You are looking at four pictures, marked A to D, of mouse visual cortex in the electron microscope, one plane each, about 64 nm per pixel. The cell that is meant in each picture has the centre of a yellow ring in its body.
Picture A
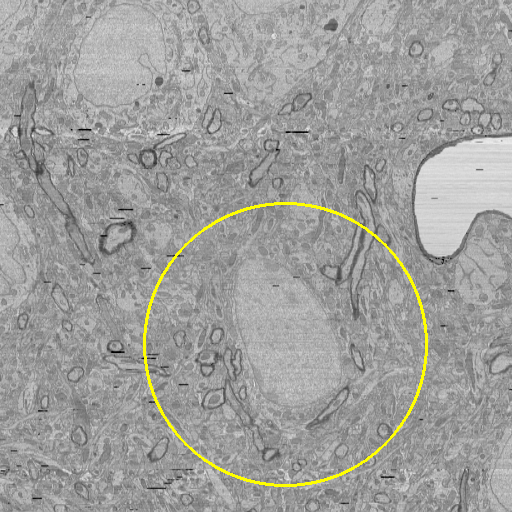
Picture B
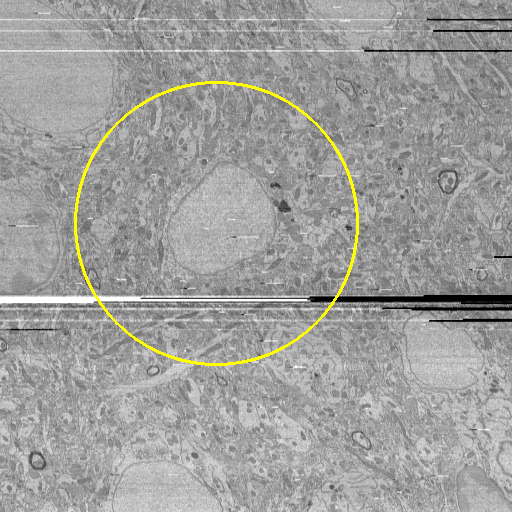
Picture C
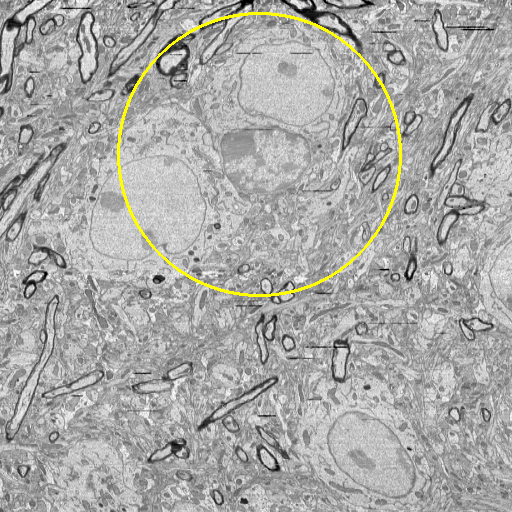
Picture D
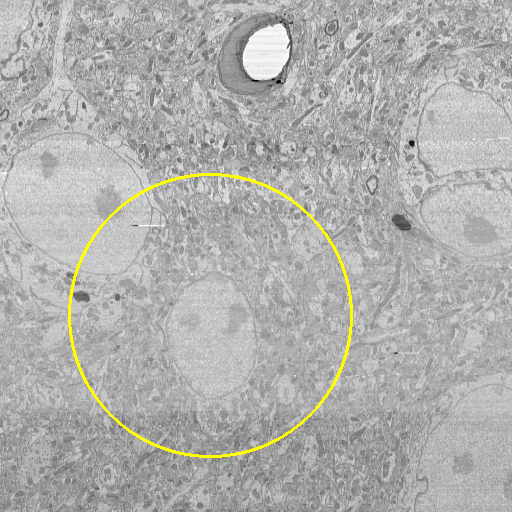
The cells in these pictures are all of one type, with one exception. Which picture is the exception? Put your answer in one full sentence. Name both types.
Picture C differs, because its cell is an oligodendrocyte and the rest are astrocytes.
